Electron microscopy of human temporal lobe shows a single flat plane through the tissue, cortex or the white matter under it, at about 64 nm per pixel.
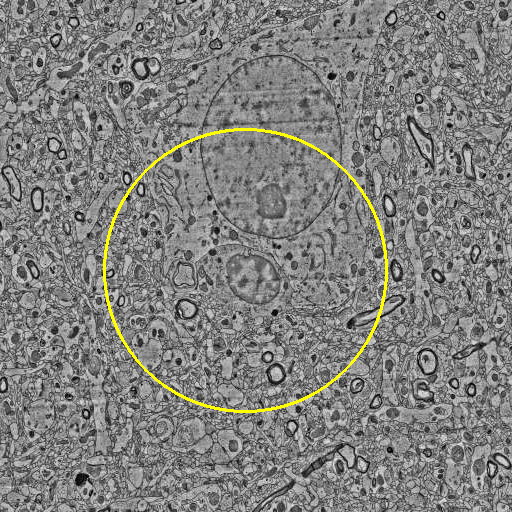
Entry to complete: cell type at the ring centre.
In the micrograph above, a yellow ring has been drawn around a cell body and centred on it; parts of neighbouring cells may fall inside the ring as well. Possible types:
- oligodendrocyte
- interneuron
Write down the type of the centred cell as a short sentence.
The ring is centred on an oligodendrocyte.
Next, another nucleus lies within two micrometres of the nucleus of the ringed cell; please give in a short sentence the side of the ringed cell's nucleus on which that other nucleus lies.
That other nucleus lies above it.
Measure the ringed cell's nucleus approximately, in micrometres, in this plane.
Roughly 4 micrometres by 3 micrometres, in this plane.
